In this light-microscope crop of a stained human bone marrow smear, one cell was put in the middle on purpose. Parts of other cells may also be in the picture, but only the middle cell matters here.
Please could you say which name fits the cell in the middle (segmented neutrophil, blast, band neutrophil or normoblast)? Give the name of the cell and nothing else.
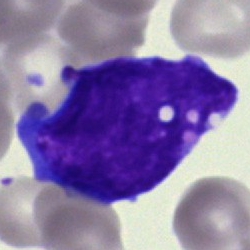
blast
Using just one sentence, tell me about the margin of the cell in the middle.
The margin of this cell is irregular, showing raggedness or projections instead of smoothness.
